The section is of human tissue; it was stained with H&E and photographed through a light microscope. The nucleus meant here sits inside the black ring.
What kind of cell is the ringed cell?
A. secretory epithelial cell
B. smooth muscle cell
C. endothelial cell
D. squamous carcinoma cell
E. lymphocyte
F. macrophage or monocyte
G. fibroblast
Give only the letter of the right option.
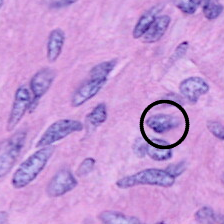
B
